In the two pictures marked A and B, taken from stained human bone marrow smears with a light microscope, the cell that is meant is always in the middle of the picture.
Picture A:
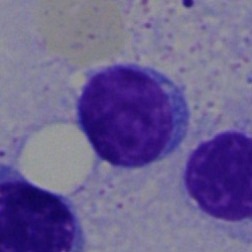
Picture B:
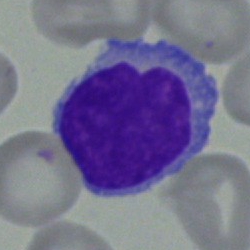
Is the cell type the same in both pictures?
no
